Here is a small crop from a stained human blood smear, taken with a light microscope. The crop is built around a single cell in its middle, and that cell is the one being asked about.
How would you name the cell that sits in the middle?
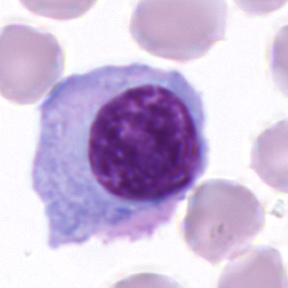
plasma cell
